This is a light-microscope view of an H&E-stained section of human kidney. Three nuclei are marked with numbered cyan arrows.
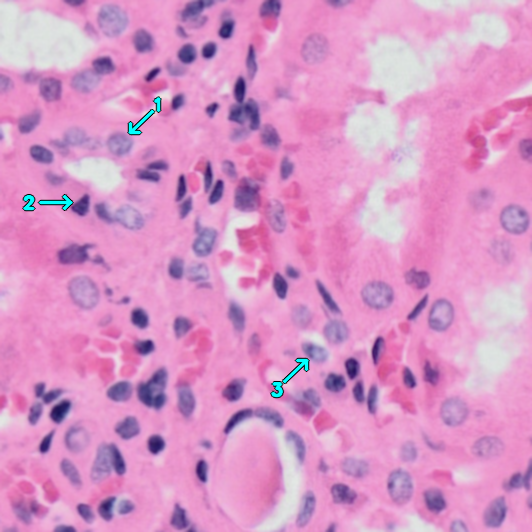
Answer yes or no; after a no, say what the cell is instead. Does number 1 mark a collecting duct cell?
Yes.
